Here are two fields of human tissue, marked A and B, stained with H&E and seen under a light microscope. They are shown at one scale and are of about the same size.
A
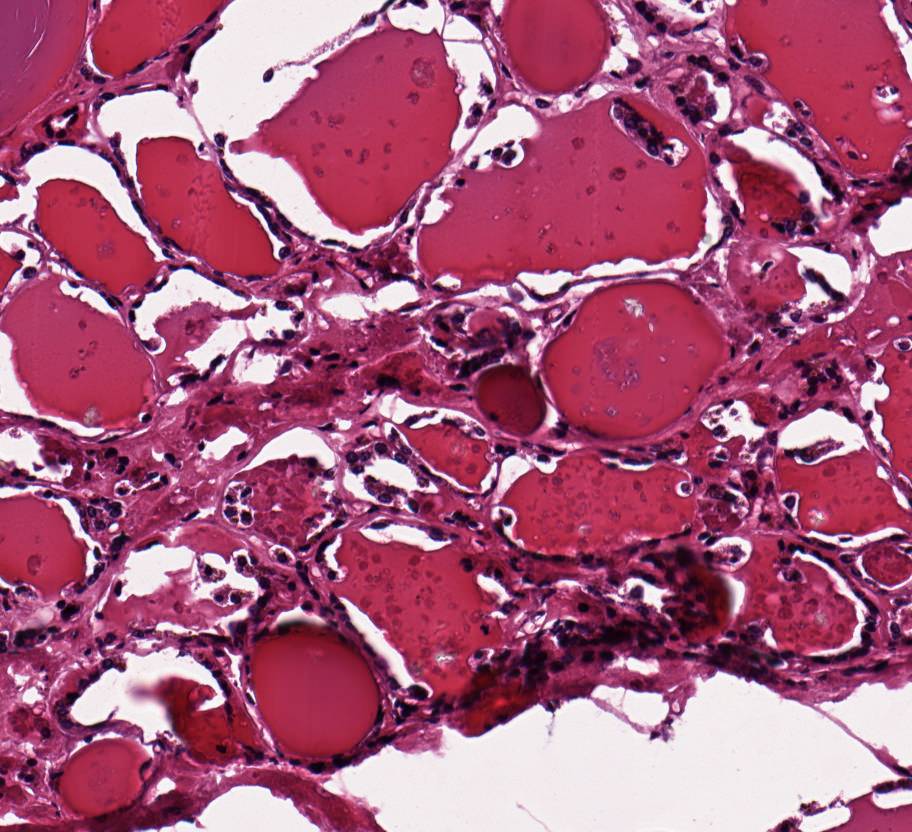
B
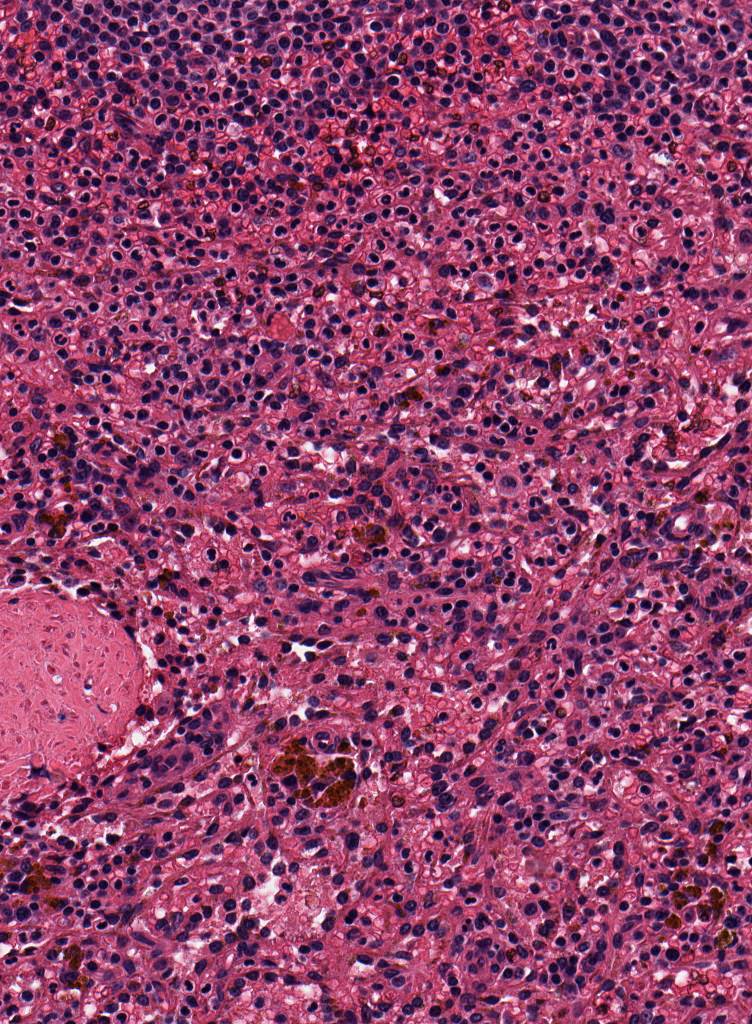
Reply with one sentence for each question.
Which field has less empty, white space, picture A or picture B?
It is picture B that stained tissue fills more completely.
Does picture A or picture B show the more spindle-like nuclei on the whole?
On the whole the nuclei of picture A are more drawn out than those of picture B.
